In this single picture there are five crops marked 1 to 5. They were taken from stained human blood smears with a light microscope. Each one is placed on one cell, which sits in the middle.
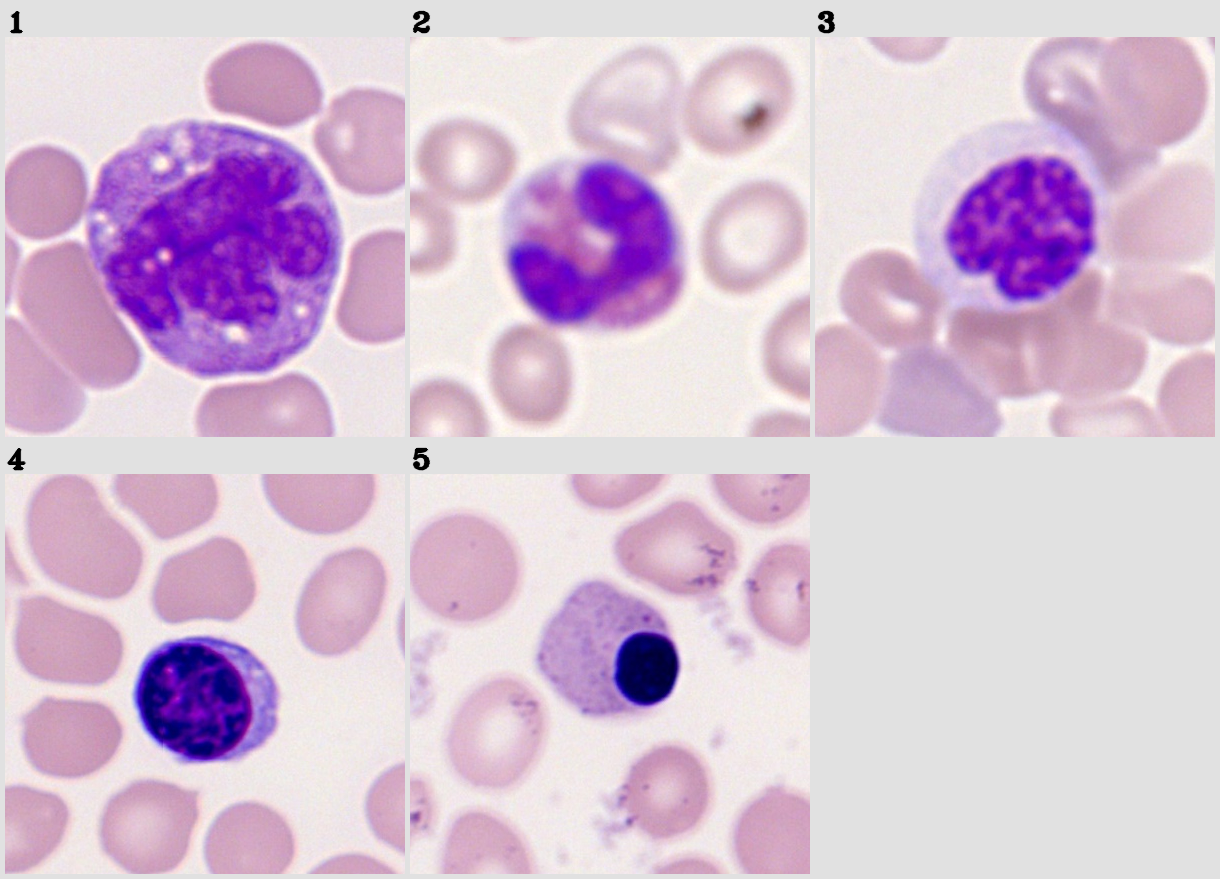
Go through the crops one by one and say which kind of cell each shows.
1: monocyte
2: eosinophil
3: band neutrophil
4: lymphocyte
5: normoblast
